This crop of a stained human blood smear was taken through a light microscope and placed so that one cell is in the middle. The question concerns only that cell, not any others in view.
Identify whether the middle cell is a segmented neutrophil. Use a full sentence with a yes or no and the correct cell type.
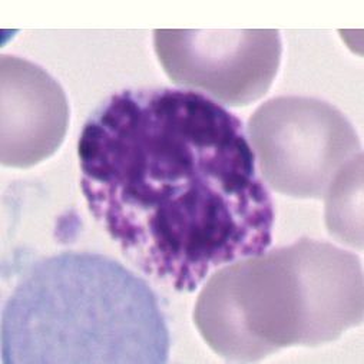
No, the central cell in this crop is a basophil and not a segmented neutrophil.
